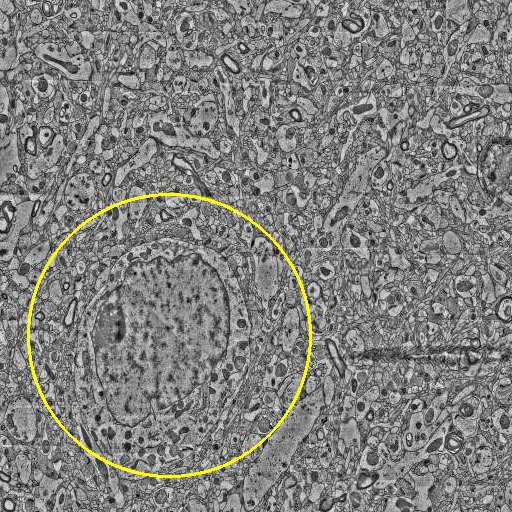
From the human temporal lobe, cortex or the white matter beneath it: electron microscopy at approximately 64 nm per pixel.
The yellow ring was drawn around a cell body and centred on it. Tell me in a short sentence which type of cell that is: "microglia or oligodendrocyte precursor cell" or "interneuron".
The cell at the ring's centre is an interneuron.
